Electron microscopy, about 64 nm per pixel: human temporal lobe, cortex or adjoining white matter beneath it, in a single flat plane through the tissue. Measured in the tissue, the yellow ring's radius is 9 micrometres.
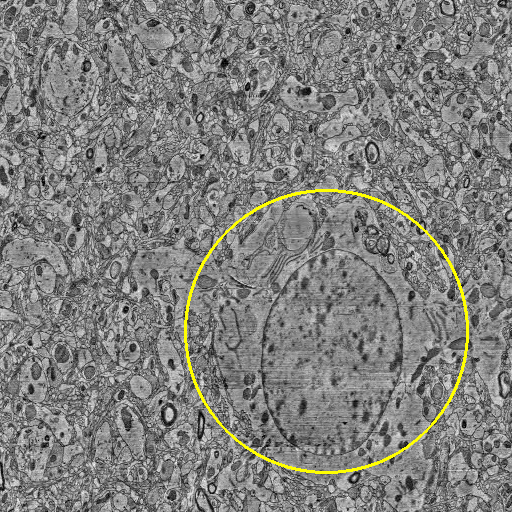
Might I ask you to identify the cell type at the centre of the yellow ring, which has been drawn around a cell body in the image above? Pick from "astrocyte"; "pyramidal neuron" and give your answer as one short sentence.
The centre of the ring falls on an astrocyte.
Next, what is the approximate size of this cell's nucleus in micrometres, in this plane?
Roughly 13 by 9 micrometres in this plane, for the nucleus of the ringed cell.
